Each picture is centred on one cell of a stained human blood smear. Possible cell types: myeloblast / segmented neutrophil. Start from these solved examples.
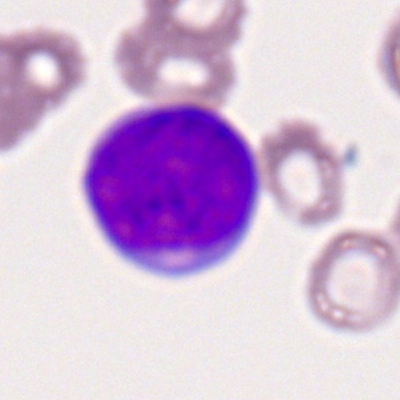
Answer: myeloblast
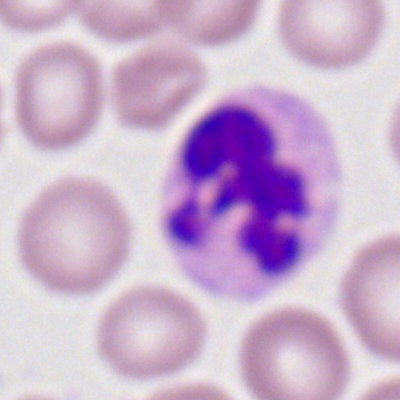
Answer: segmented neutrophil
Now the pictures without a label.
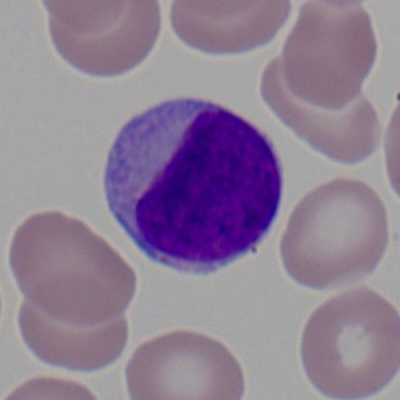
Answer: myeloblast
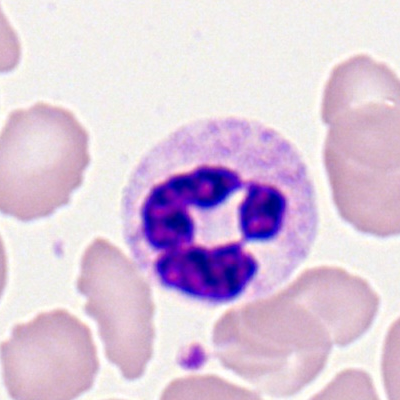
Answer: segmented neutrophil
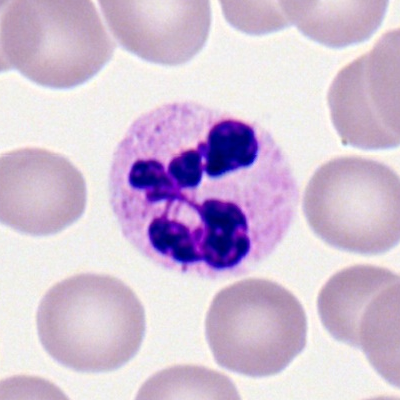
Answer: segmented neutrophil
